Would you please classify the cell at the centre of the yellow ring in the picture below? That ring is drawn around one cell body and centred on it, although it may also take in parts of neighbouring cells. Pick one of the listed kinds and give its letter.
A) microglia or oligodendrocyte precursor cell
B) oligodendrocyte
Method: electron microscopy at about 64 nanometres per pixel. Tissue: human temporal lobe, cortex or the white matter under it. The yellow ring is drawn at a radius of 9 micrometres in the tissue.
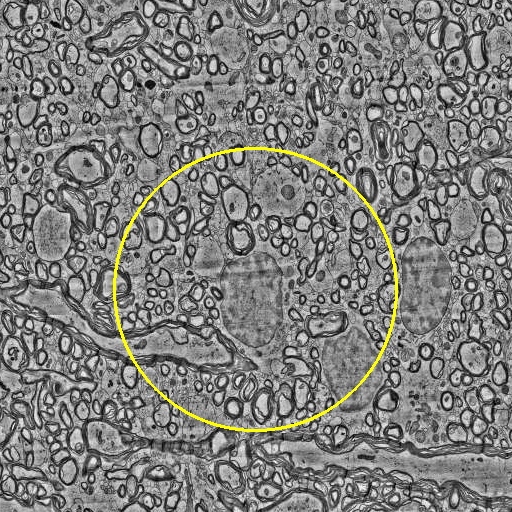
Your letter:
B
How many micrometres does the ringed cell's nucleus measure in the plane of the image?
About 6 micrometres by about 4 micrometres in this plane.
